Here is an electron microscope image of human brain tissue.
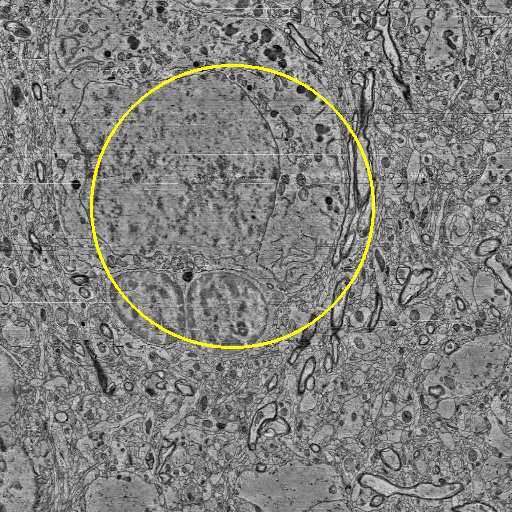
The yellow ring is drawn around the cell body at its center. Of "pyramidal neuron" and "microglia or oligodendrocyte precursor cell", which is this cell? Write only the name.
pyramidal neuron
